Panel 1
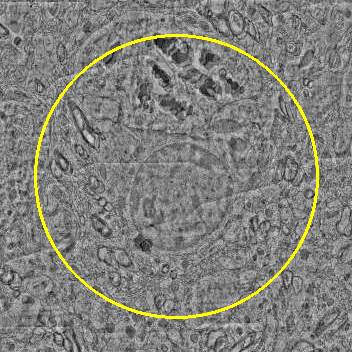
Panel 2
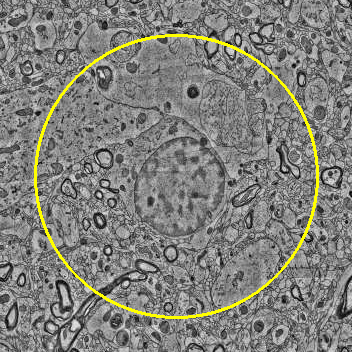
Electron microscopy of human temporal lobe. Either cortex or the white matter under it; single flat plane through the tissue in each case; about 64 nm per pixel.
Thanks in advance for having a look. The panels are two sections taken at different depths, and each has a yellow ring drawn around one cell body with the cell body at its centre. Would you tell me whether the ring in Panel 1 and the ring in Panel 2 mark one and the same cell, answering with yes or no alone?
yes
